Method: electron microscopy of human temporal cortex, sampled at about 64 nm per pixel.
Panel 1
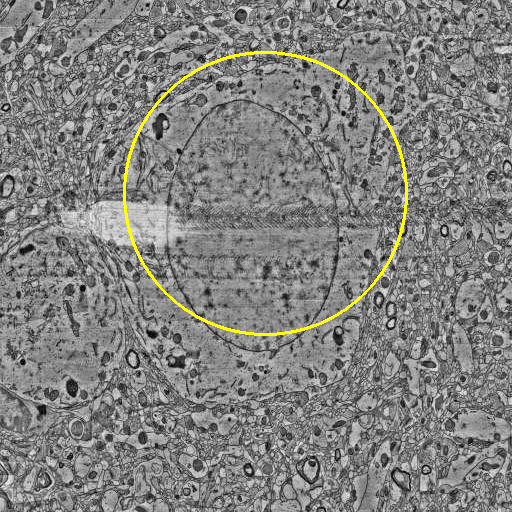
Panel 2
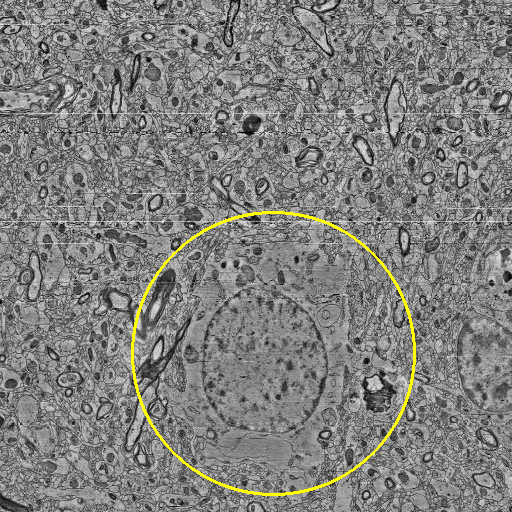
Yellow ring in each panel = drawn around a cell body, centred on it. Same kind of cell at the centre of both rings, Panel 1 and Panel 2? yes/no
no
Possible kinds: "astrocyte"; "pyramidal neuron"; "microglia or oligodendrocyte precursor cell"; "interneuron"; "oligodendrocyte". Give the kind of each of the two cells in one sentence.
The cell in the second picture is an astrocyte, and that in the first is a pyramidal neuron.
